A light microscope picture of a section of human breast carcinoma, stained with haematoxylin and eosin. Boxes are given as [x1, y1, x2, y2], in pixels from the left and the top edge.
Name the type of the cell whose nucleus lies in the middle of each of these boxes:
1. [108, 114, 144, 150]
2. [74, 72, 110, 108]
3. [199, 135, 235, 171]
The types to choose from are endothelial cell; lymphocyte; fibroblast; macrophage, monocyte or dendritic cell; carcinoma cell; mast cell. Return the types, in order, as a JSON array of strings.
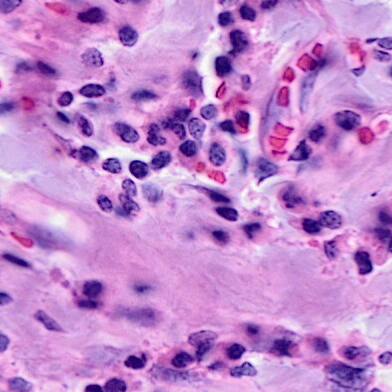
["mast cell", "lymphocyte", "mast cell"]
